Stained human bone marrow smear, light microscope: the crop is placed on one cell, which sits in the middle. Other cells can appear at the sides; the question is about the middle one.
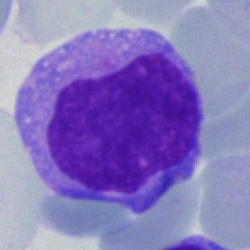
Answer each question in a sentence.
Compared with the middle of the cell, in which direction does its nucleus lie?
The nucleus is pushed toward the lower right of the cell.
